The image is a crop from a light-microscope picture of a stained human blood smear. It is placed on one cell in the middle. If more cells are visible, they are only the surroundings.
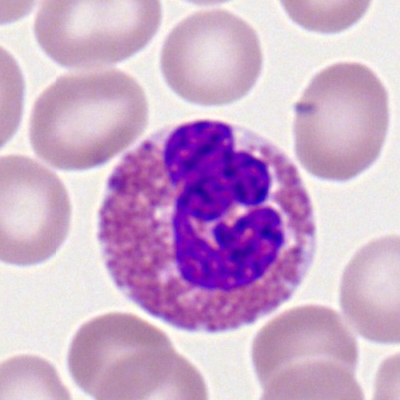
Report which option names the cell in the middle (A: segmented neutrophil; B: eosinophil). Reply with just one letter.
B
